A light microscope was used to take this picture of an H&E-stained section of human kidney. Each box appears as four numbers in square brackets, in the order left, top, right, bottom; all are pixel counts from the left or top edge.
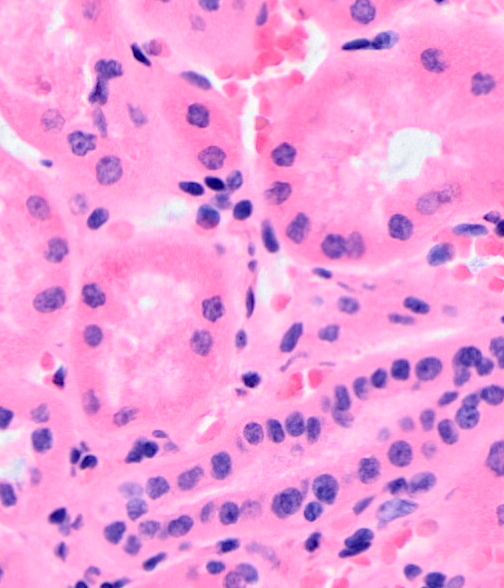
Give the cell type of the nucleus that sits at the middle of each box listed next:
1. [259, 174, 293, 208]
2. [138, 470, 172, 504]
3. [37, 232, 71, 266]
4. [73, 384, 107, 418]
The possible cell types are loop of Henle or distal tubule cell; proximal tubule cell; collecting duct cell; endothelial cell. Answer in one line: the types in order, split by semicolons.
proximal tubule cell; collecting duct cell; proximal tubule cell; proximal tubule cell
